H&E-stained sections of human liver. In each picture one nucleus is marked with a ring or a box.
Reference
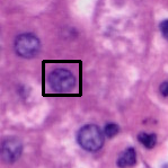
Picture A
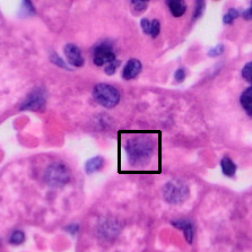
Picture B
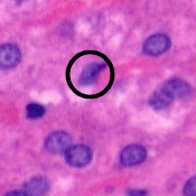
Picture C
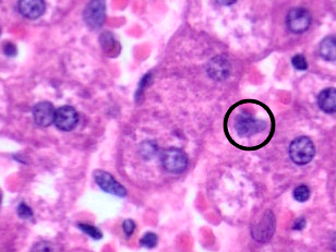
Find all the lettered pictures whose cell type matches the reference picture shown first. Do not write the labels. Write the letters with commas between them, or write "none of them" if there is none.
none of them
